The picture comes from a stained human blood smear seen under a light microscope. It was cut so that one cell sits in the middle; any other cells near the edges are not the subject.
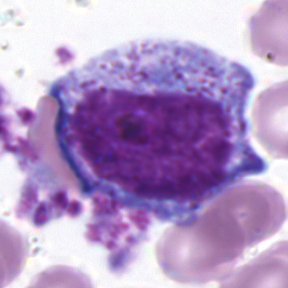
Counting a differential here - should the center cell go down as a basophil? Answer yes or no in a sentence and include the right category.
No, the cell in the middle of the field is a promyelocyte, not a basophil as suggested.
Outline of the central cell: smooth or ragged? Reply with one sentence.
Its surface contour departs from smoothness through ragged edges or outward projections.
